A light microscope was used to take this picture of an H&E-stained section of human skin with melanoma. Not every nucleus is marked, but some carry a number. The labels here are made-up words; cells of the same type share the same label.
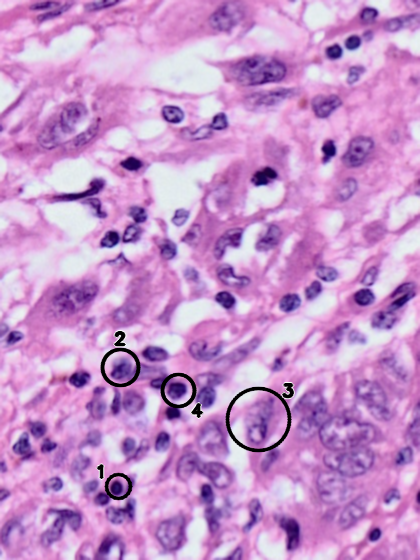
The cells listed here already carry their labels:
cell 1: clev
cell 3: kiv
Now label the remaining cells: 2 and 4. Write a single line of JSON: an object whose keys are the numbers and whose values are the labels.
{"2": "clev", "4": "clev"}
